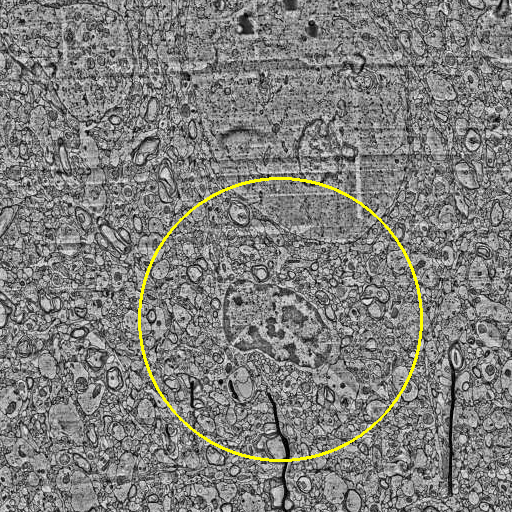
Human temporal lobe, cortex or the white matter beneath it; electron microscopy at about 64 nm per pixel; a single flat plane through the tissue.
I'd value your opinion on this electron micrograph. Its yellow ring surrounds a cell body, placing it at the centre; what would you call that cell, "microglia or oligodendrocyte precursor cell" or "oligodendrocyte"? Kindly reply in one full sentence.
It is a microglial cell or oligodendrocyte precursor cell that sits centred within the yellow ring in this micrograph.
